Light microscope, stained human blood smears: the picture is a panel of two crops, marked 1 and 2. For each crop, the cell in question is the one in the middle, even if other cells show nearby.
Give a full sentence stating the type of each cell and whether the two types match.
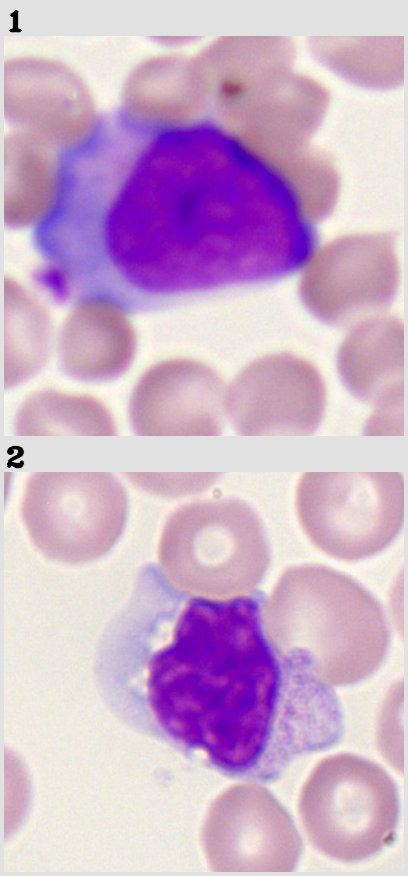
No, enter a myeloblast for crop 1 and a monocyte for crop 2.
